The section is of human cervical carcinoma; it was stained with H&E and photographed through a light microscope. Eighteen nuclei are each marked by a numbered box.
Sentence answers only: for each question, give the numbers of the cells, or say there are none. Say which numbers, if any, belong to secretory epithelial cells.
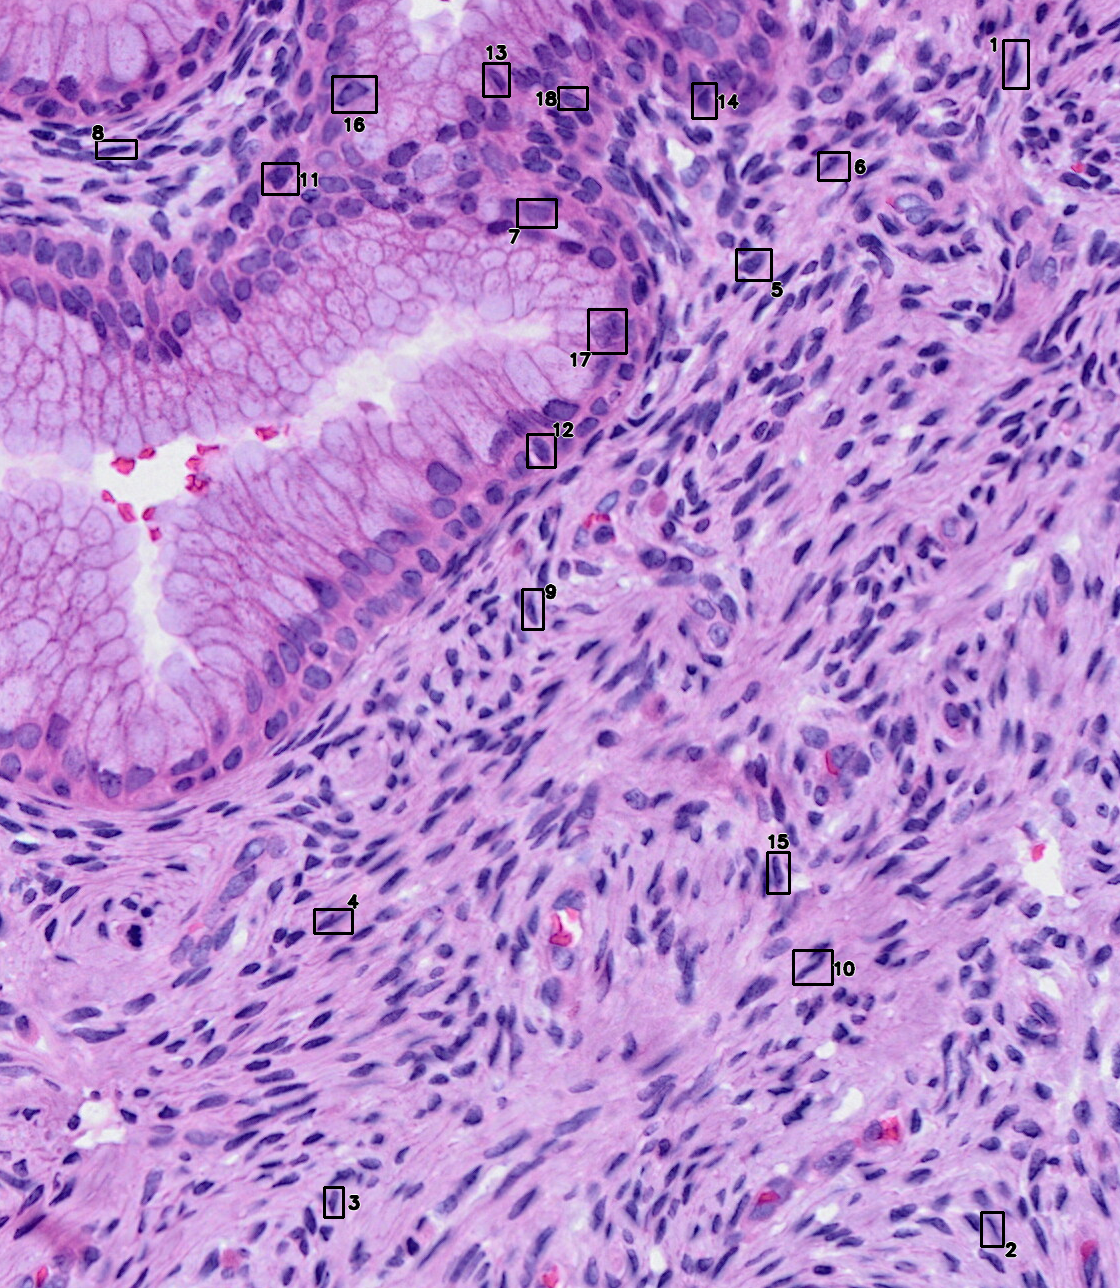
The identity of cells 7, 11, 12, 13, 14, 16, 17 and 18: they are secretory epithelial cells.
